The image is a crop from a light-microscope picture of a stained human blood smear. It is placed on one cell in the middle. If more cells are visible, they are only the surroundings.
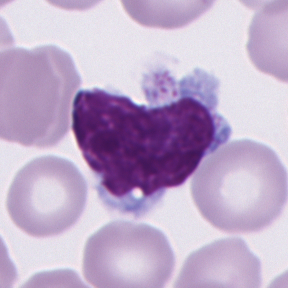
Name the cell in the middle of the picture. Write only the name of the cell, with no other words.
typical lymphocyte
